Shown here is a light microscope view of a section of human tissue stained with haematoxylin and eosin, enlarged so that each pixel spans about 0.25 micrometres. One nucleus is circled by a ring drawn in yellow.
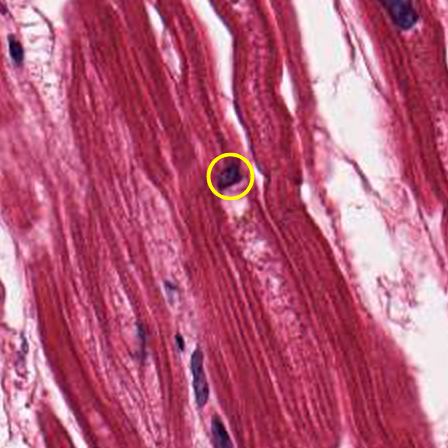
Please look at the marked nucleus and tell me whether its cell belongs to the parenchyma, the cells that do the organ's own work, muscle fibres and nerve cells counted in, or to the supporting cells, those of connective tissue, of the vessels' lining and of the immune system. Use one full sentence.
The marked nucleus is ascribed to a parenchymal cell, namely a cardiomyocyte.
